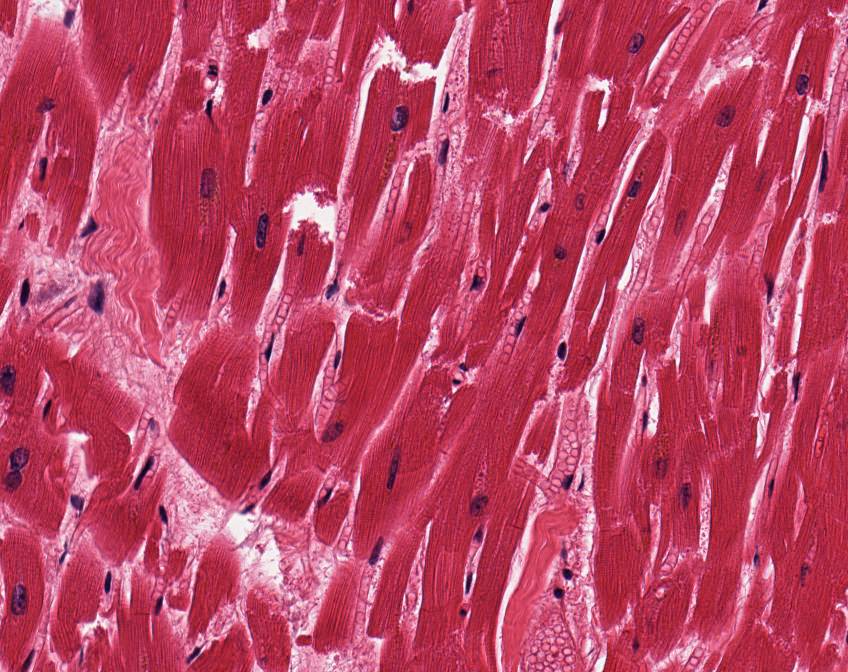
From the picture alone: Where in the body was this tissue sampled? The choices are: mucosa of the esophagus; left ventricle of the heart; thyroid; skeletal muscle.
left ventricle of the heart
